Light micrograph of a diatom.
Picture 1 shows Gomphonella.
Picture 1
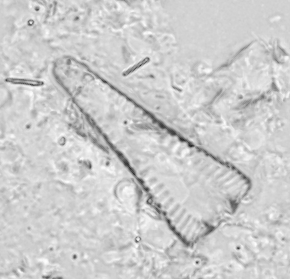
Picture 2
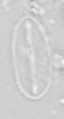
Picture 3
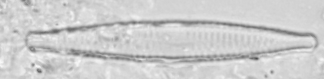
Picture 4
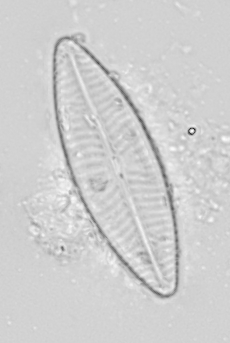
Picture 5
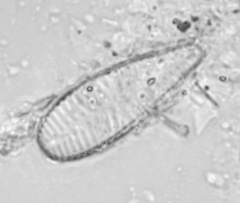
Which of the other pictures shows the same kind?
Picture 5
